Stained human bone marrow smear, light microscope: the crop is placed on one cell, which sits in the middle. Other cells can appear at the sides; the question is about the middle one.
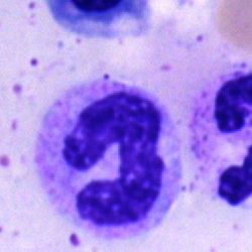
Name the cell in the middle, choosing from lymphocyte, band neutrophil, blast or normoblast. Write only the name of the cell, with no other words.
band neutrophil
